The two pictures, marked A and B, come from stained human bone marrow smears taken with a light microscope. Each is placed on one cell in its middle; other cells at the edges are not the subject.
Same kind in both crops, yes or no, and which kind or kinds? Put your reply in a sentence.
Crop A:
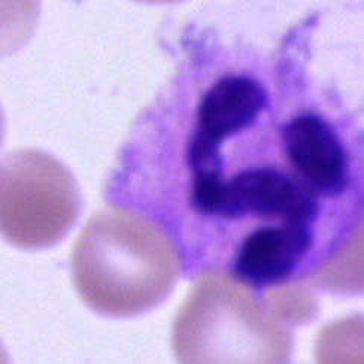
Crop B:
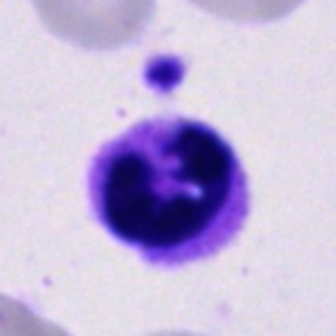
Yes, in both crops, segmented neutrophils are the cells at the middle.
